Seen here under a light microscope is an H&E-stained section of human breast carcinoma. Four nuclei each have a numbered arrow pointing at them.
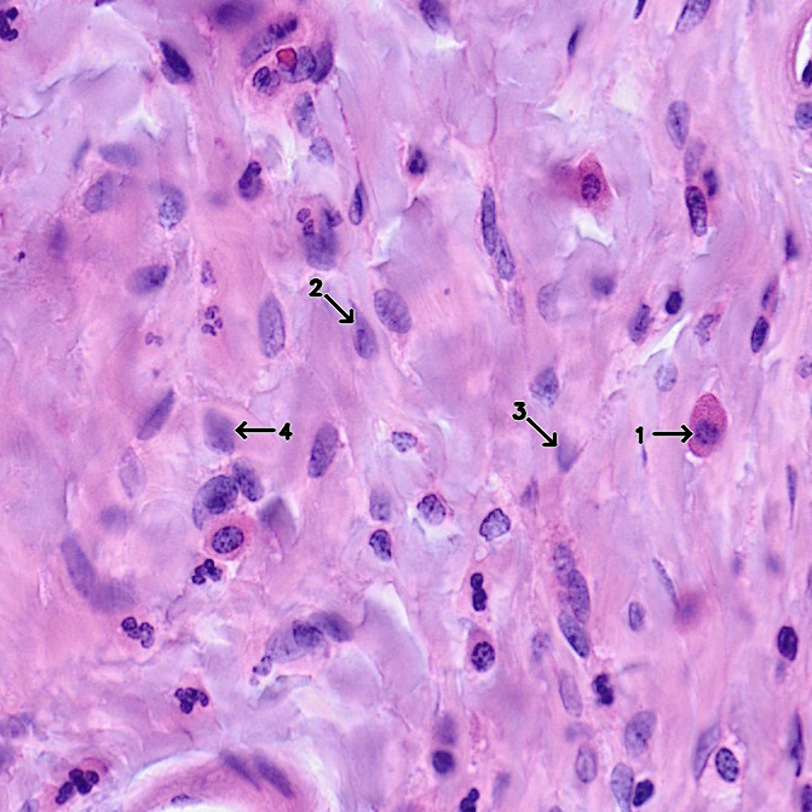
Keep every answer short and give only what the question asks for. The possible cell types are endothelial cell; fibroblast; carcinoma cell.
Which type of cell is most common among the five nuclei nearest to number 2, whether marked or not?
fibroblast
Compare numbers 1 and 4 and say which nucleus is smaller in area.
1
